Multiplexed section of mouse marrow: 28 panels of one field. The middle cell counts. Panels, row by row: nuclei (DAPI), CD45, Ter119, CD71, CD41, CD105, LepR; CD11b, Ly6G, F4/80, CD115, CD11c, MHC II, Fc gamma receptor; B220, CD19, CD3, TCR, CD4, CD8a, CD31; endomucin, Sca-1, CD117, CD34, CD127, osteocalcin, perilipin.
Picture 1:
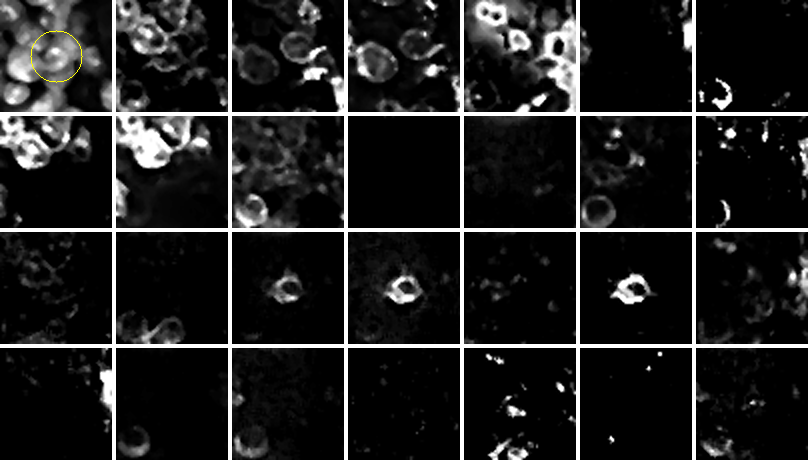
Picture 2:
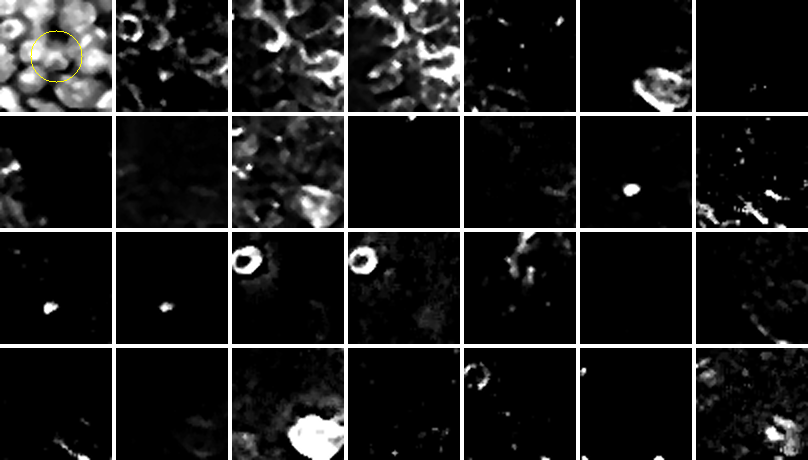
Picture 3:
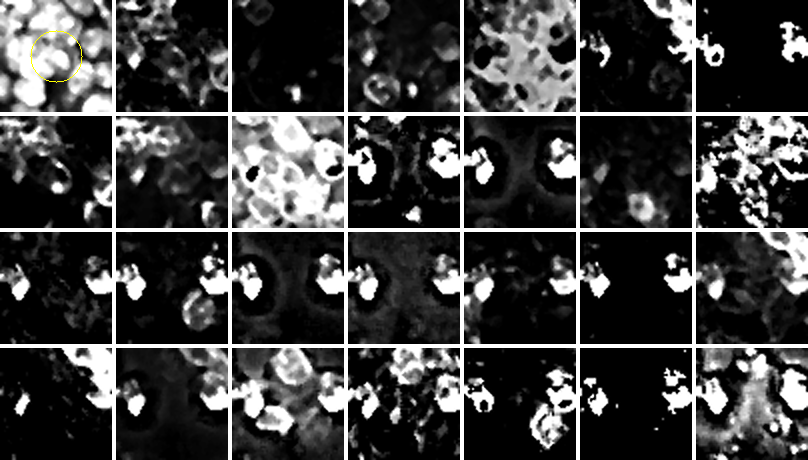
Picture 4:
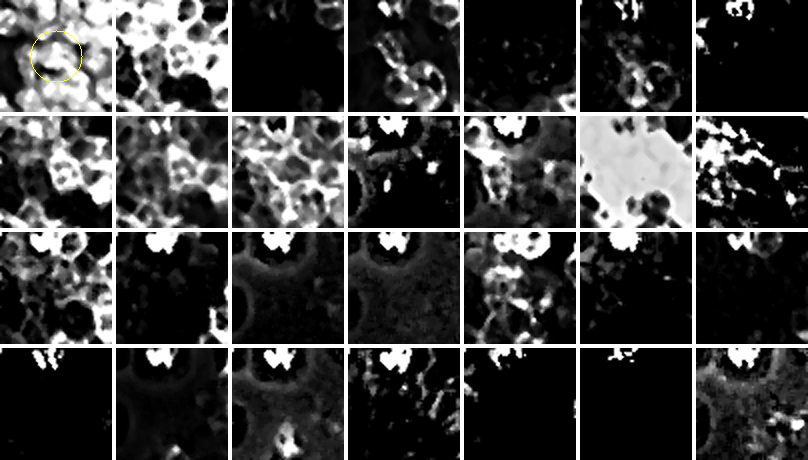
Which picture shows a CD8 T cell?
Picture 1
